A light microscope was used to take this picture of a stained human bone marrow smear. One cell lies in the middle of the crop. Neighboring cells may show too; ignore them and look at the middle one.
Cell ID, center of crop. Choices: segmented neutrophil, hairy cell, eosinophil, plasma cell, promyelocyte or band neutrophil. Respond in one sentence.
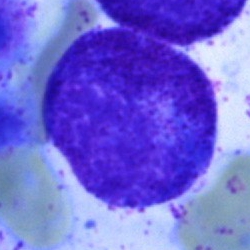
In the middle of this smear crop is a promyelocyte.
